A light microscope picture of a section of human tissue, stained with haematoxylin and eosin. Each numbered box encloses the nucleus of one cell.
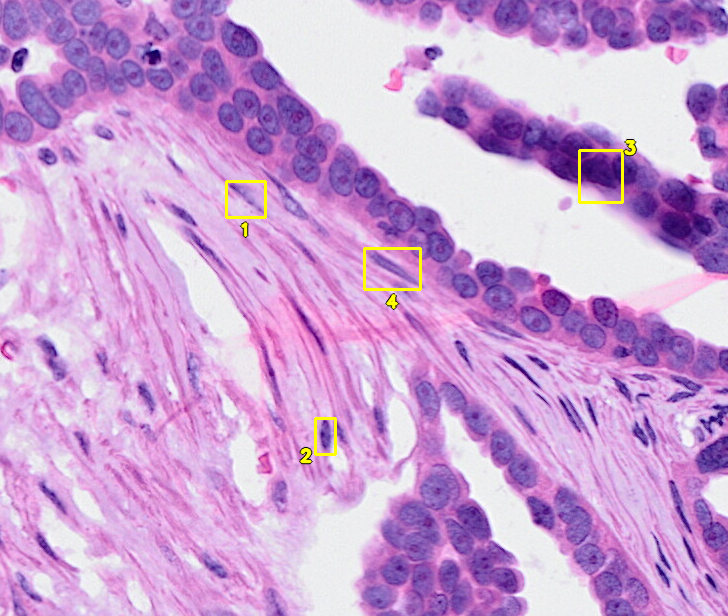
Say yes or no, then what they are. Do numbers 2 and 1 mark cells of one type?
Yes, both are fibroblasts.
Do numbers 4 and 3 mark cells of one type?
No, cell 4 is a fibroblast and cell 3 is a carcinoma cell.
